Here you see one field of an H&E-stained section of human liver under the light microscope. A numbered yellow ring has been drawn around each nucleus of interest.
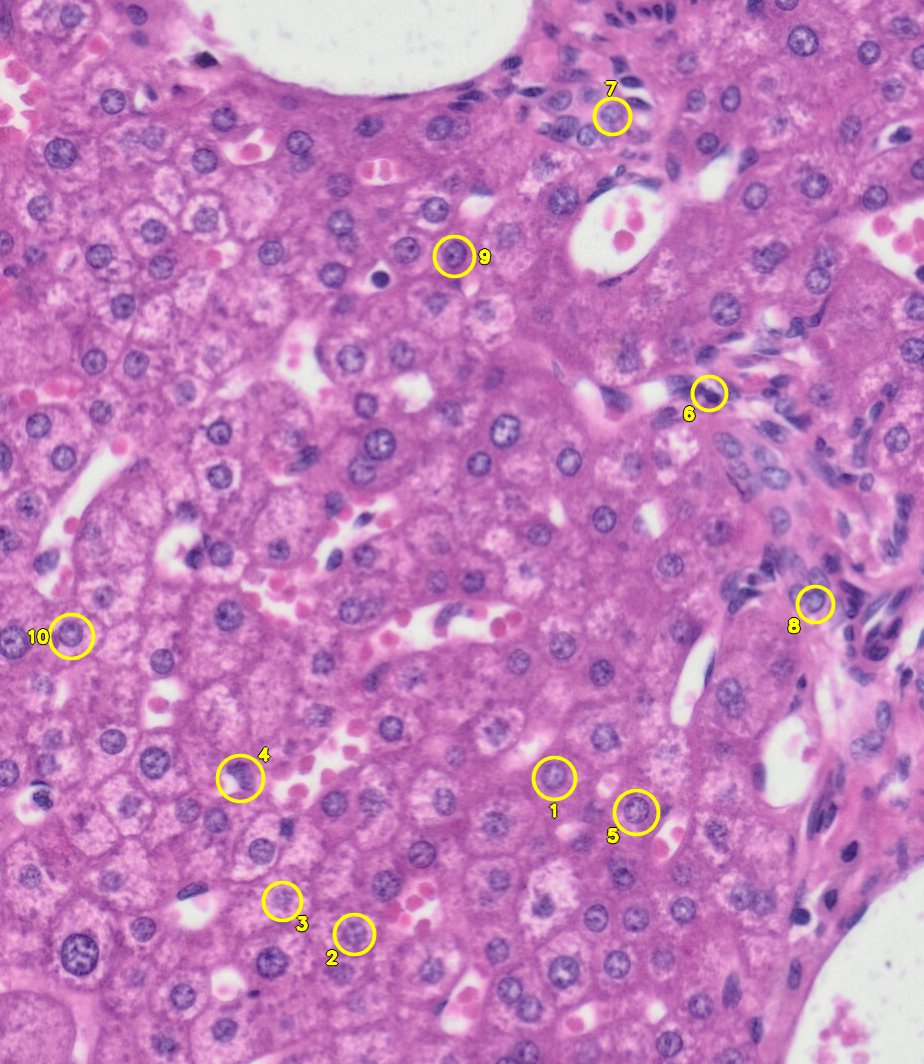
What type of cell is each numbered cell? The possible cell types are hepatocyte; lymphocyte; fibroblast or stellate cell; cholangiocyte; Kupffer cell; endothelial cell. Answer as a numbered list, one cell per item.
1. hepatocyte
2. hepatocyte
3. hepatocyte
4. endothelial cell
5. hepatocyte
6. fibroblast or stellate cell
7. cholangiocyte
8. cholangiocyte
9. hepatocyte
10. hepatocyte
